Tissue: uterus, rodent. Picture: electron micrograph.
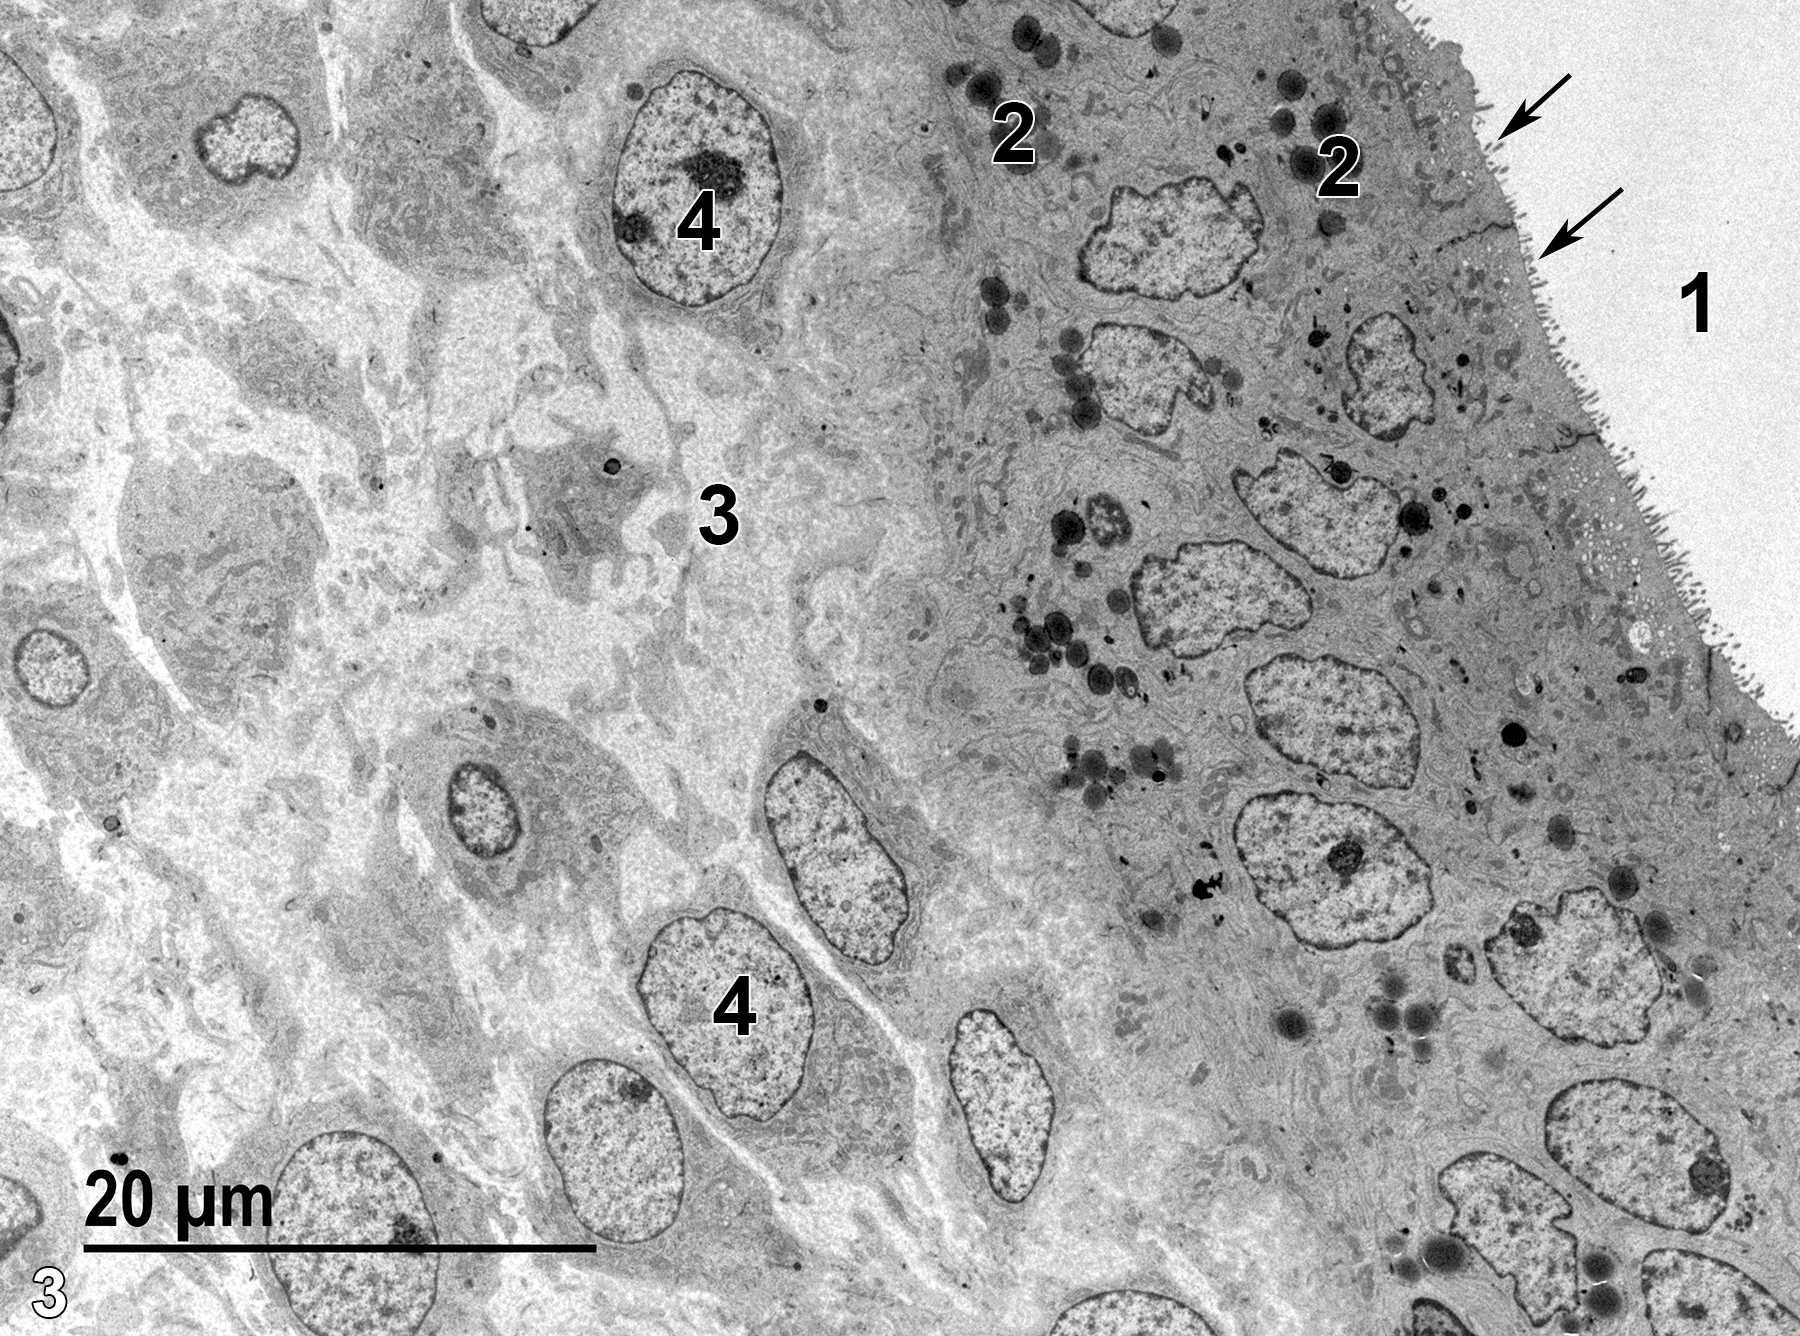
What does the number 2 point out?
The number 2 marks the electron-dense secretory granules.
